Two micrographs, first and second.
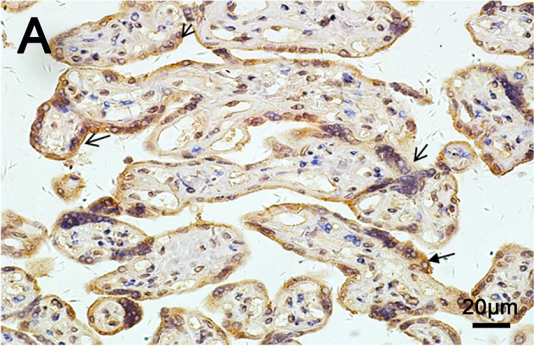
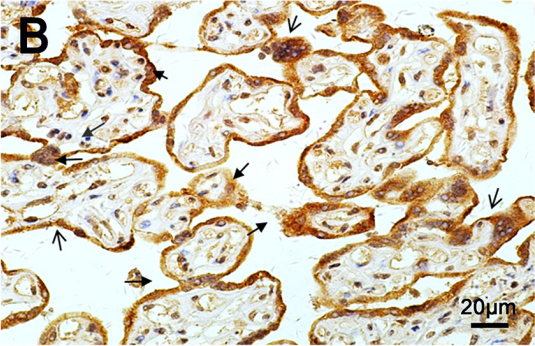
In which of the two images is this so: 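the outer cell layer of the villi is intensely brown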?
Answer: The second image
